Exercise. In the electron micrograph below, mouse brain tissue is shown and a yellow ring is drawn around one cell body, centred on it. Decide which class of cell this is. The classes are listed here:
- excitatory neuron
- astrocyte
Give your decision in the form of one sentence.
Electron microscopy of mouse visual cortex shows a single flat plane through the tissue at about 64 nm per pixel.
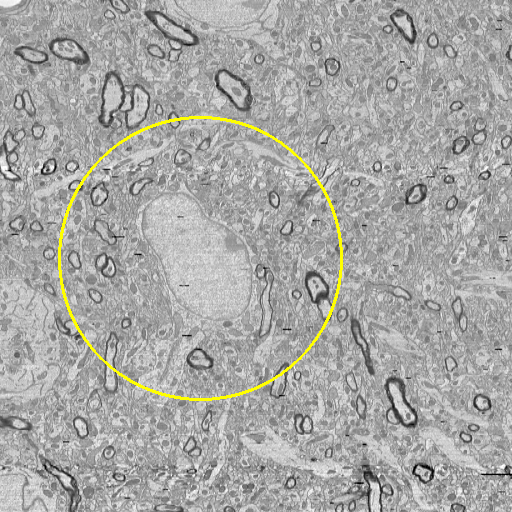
The cell body marked by the ring belongs to an astrocyte.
